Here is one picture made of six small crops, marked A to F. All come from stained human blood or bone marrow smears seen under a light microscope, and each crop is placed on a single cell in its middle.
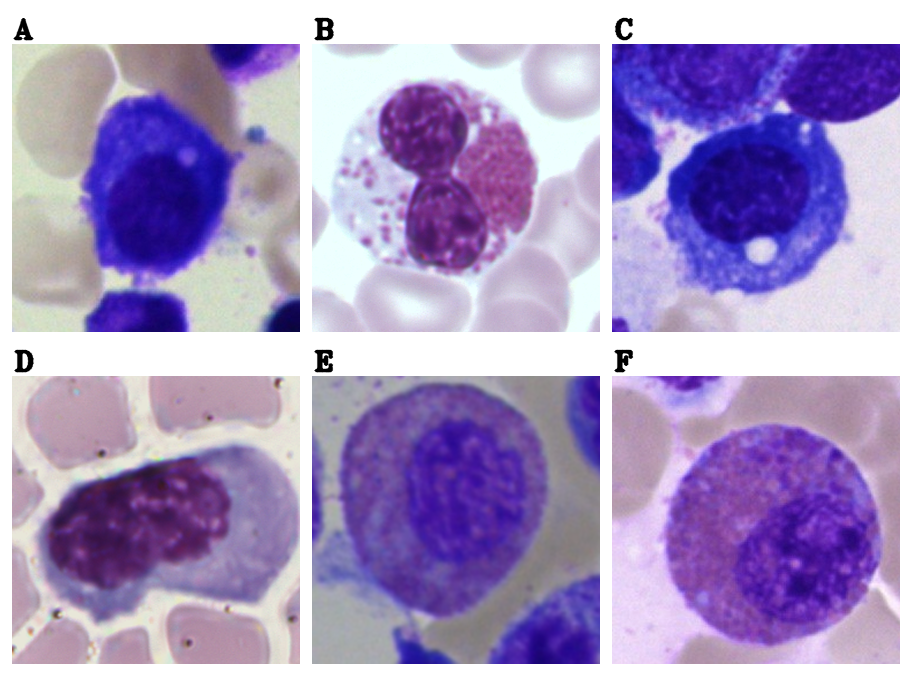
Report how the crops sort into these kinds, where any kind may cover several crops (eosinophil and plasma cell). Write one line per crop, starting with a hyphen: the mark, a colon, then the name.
- A: plasma cell
- B: eosinophil
- C: plasma cell
- D: plasma cell
- E: eosinophil
- F: eosinophil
